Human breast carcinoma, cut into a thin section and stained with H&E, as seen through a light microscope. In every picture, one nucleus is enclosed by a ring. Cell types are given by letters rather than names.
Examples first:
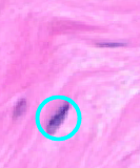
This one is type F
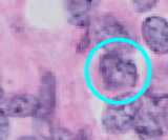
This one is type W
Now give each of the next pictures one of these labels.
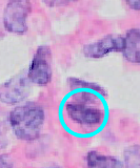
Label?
type W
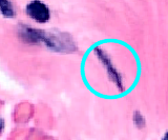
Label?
type F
